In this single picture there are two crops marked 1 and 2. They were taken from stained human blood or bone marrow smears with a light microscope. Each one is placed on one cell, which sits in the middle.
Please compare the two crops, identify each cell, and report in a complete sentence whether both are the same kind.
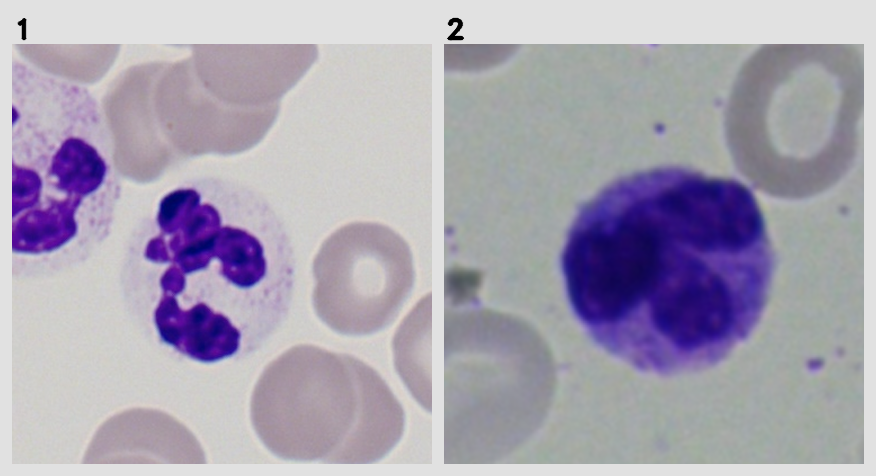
Yes, in both crops, neutrophils are the cells at the middle.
